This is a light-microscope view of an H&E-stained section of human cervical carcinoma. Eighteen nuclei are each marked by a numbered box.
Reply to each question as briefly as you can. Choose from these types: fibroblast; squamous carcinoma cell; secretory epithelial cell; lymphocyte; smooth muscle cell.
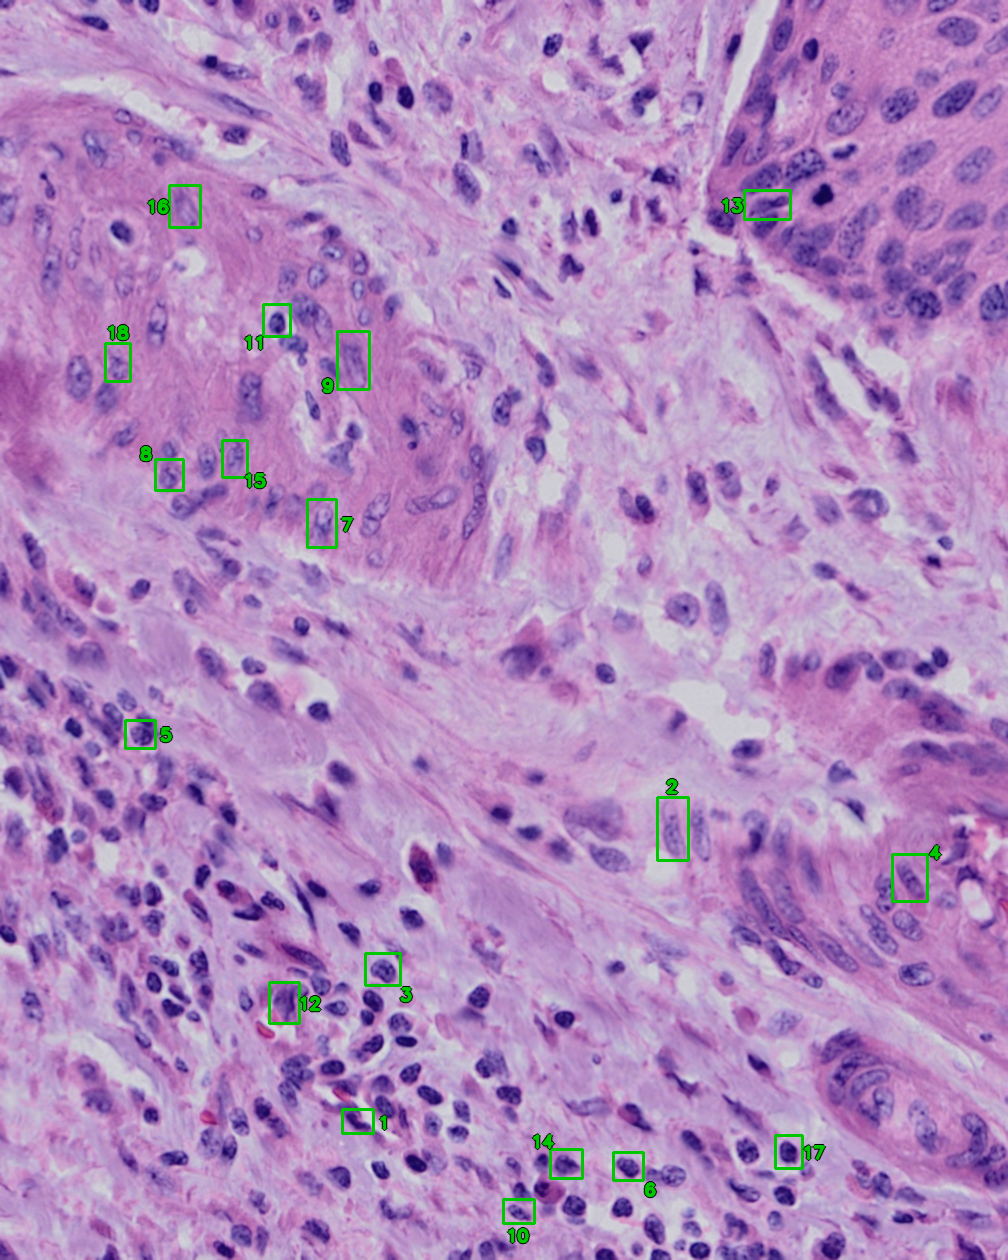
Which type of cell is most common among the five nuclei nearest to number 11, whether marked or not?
smooth muscle cell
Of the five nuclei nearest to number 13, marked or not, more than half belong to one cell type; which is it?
squamous carcinoma cell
